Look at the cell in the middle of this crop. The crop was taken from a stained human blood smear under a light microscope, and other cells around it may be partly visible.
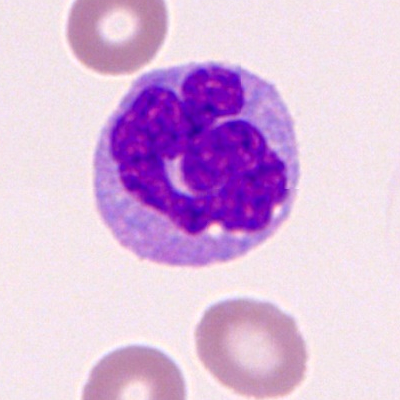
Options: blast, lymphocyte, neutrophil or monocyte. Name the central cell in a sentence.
In this smear crop, the middle cell is a monocyte.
